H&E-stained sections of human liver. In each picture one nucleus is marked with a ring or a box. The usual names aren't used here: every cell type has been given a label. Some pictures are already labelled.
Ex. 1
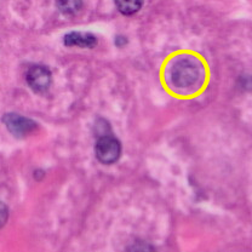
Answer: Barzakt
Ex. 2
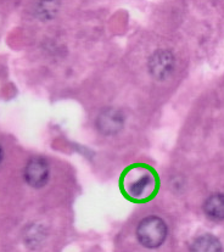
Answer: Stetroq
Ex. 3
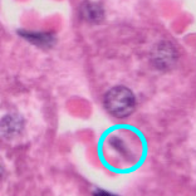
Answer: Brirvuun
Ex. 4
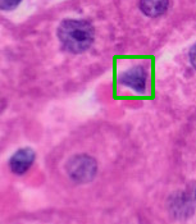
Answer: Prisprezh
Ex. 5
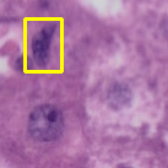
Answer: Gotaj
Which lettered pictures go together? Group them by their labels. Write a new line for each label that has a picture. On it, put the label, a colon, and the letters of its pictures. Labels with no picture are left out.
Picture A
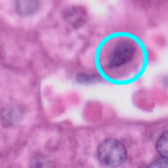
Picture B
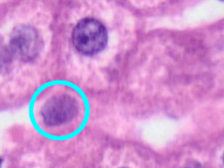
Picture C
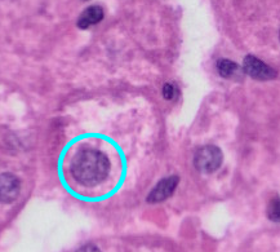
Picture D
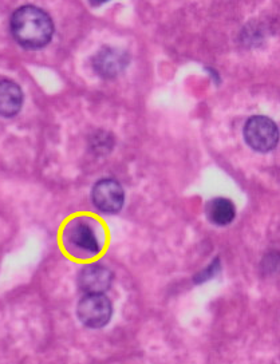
Barzakt: C
Prisprezh: B
Gotaj: A, D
